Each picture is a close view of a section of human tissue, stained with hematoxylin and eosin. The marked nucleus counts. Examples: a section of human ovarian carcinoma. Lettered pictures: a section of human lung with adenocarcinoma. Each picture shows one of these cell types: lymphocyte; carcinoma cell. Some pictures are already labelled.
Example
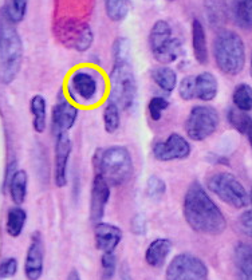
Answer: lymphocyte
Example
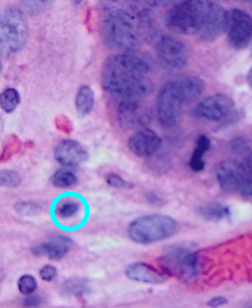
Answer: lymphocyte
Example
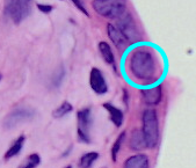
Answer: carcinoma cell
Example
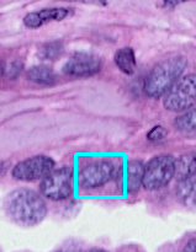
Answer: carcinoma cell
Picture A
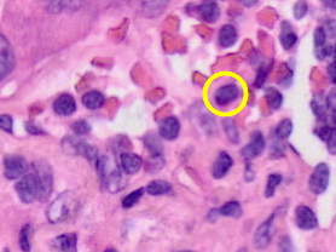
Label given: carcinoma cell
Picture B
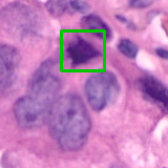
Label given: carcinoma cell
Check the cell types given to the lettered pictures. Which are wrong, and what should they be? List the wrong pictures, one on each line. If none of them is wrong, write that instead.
A: change carcinoma cell to lymphocyte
